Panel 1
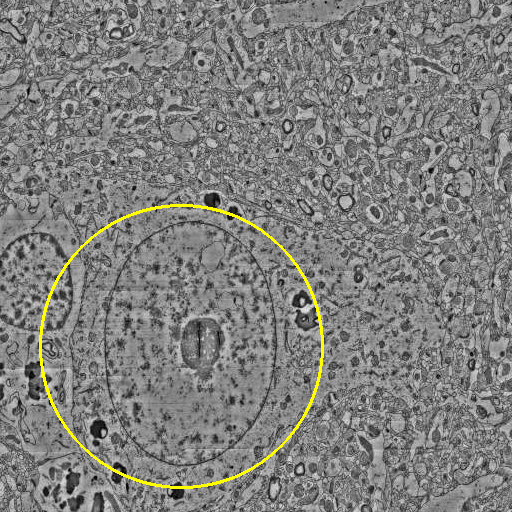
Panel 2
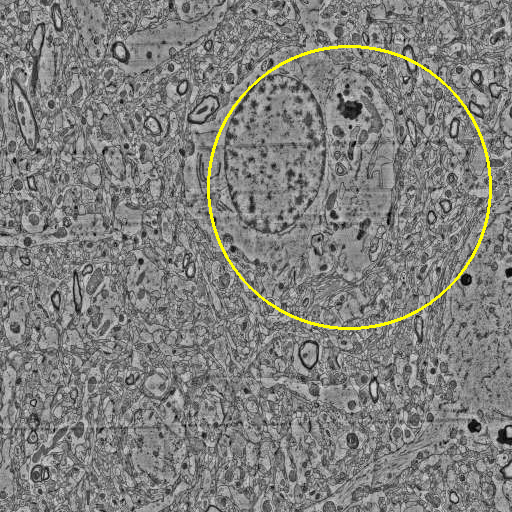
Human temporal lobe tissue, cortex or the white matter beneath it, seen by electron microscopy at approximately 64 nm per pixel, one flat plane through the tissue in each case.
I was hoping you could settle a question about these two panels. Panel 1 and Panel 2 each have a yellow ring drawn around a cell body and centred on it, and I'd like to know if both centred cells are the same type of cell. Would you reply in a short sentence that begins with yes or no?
No, they are two types of cell.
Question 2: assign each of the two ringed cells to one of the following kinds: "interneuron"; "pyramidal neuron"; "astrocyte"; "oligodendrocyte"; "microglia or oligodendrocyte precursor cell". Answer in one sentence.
The two cells are a pyramidal neuron in the first picture and an astrocyte in the second.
